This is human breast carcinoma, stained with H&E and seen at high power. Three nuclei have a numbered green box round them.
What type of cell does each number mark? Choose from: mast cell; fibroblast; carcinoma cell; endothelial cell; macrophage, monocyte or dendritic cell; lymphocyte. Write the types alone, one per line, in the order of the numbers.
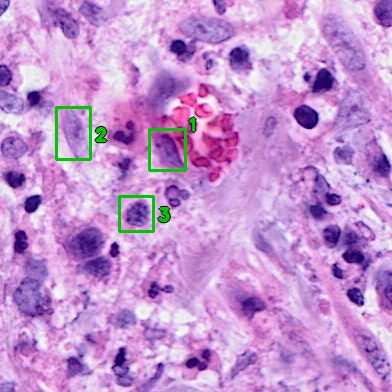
endothelial cell
fibroblast
mast cell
